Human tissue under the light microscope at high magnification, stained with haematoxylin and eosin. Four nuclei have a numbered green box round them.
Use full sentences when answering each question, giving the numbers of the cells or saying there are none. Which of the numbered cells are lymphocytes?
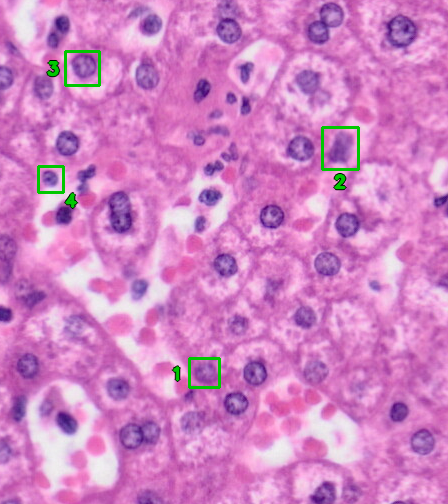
In contrast to the remaining marked cells, cell 4 is a lymphocyte.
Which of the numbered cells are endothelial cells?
Only cell 2 is an endothelial cell; none of the other numbered cells is.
